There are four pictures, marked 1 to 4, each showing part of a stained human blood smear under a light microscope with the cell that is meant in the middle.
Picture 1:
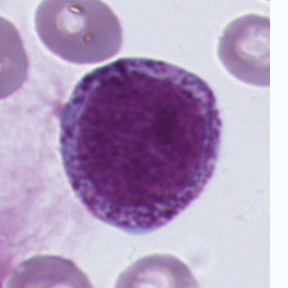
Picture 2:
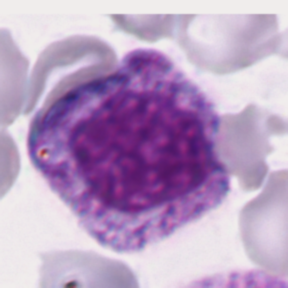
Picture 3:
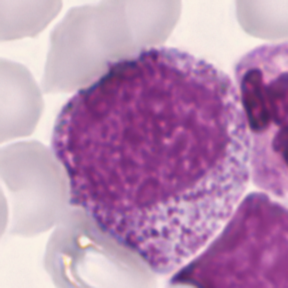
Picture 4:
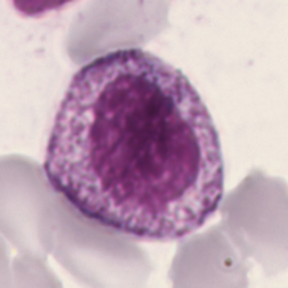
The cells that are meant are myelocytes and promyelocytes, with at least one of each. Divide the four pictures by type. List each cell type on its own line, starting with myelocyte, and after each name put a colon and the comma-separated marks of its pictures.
myelocyte: 2, 3, 4
promyelocyte: 1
